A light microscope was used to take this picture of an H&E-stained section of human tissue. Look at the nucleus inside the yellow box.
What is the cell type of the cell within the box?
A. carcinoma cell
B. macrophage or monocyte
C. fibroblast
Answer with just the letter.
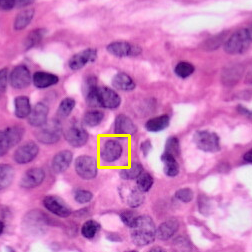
B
